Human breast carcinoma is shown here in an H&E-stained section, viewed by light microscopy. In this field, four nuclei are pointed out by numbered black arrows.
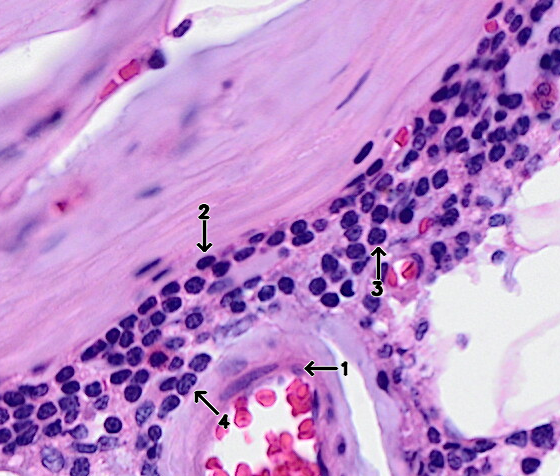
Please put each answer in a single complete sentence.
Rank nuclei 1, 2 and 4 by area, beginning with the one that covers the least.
From smallest to largest, the order is 1, 2, 4.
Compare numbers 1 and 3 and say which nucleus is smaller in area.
Number 1 is smaller, since number 3 takes up about 2.5 times as much area.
